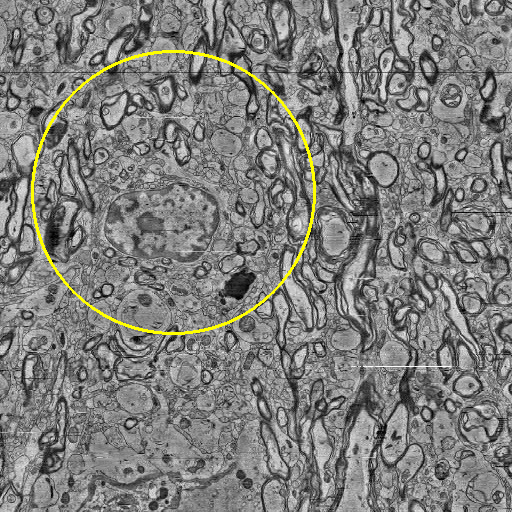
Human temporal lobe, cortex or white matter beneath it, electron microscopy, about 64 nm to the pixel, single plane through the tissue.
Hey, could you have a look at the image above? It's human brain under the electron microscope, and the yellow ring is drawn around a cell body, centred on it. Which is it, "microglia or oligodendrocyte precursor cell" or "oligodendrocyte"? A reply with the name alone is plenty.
microglia or oligodendrocyte precursor cell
